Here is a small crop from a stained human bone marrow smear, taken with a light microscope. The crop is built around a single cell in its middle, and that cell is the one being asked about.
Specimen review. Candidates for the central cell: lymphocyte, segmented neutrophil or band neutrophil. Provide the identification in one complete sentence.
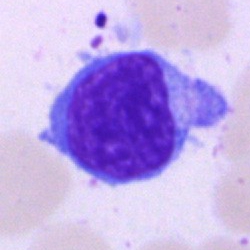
The cell at the heart of this crop is a lymphocyte.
